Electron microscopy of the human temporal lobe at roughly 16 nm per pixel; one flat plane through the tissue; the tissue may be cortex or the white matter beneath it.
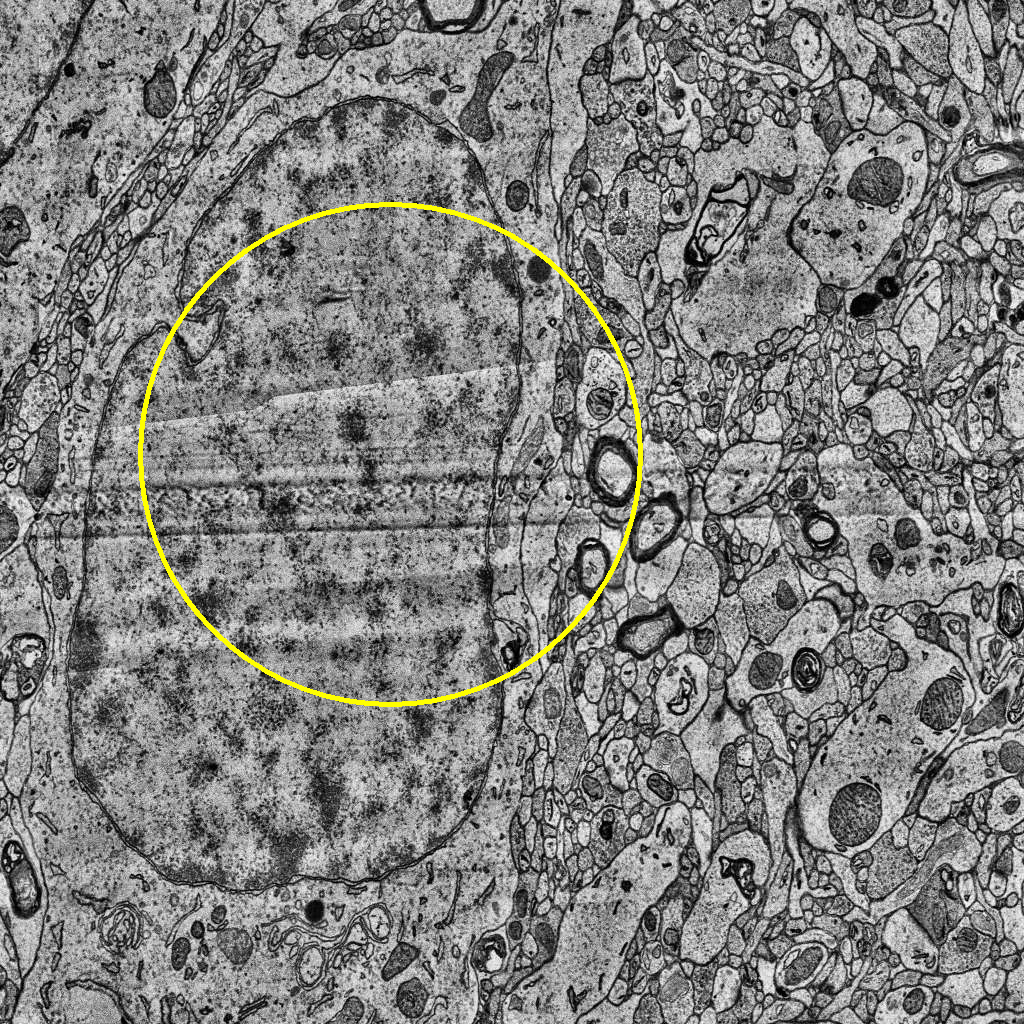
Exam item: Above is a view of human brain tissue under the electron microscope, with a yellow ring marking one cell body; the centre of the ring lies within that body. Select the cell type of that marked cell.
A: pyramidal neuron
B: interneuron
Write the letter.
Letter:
B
